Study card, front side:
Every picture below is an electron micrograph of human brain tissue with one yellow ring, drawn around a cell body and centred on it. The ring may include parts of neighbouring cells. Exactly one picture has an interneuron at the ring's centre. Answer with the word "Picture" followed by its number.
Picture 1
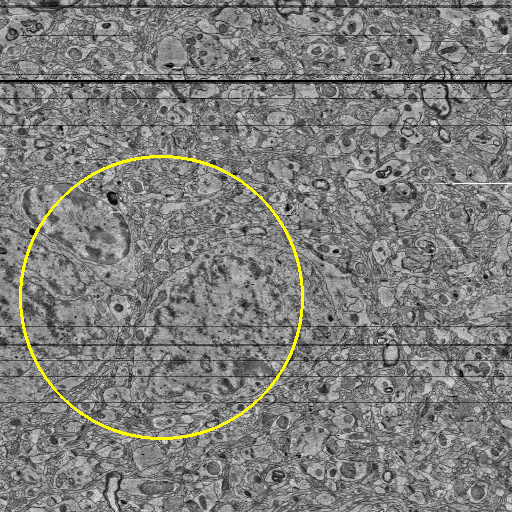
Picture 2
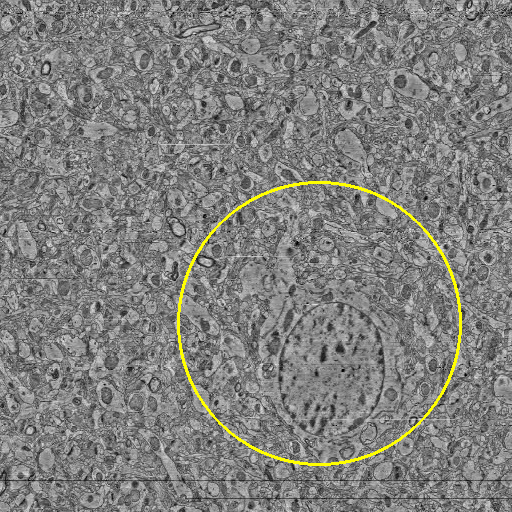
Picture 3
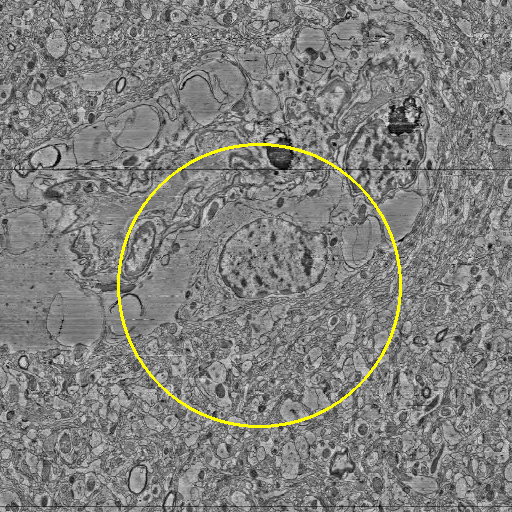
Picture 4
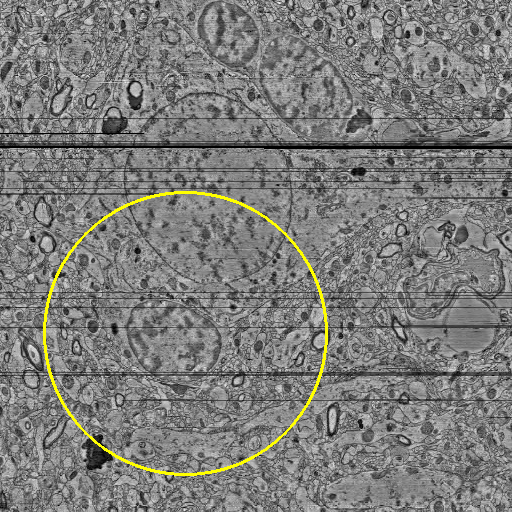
Picture 1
